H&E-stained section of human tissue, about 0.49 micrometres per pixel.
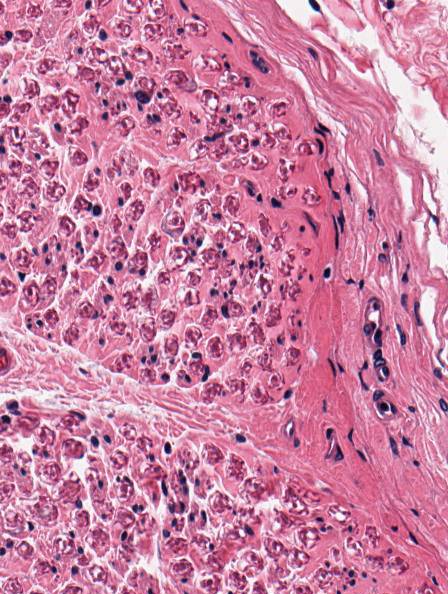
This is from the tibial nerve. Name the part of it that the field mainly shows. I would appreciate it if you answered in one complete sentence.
Depicted by this section is the tissue part nerve fascicle.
